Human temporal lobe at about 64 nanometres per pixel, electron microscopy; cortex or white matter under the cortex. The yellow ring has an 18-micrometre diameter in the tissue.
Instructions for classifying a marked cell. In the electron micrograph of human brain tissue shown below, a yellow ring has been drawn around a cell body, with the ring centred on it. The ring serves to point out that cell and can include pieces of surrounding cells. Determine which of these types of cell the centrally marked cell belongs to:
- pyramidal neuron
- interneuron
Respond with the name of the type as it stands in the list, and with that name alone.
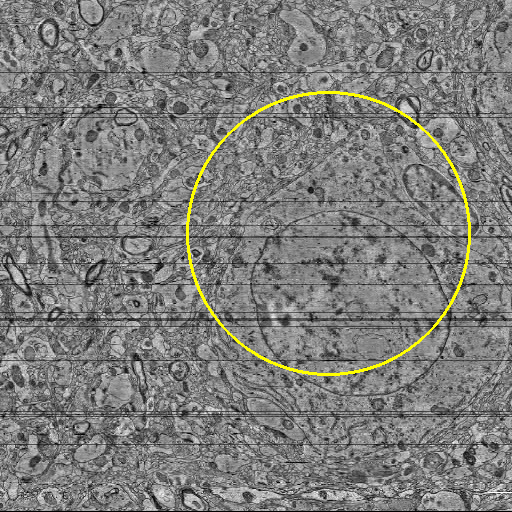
pyramidal neuron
